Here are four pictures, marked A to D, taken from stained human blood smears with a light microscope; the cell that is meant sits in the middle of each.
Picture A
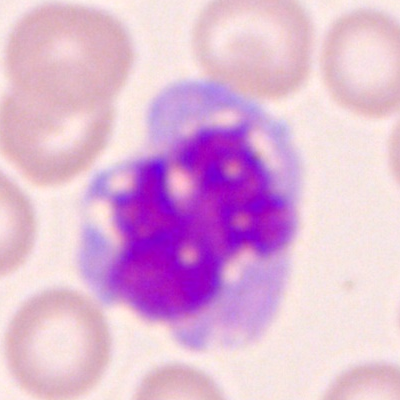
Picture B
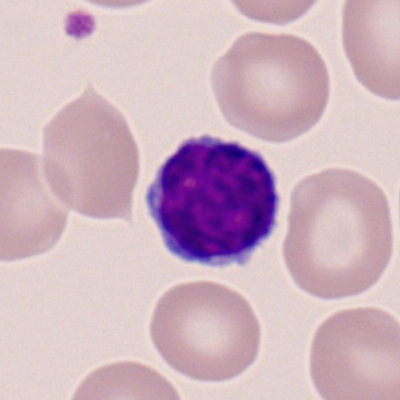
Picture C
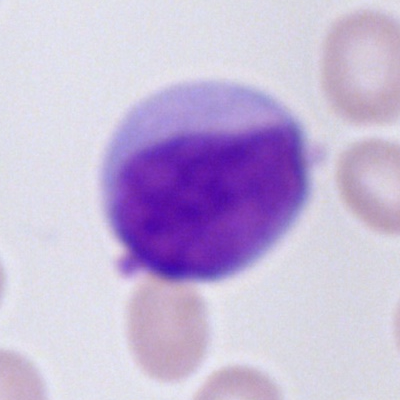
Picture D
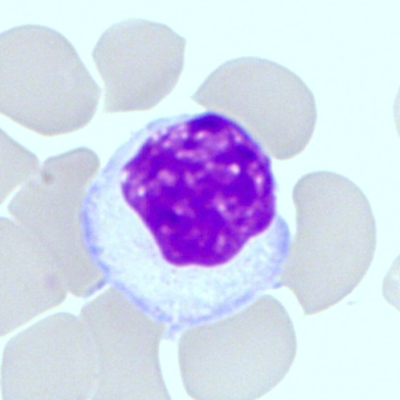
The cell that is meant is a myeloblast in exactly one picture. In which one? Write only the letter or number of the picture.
C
